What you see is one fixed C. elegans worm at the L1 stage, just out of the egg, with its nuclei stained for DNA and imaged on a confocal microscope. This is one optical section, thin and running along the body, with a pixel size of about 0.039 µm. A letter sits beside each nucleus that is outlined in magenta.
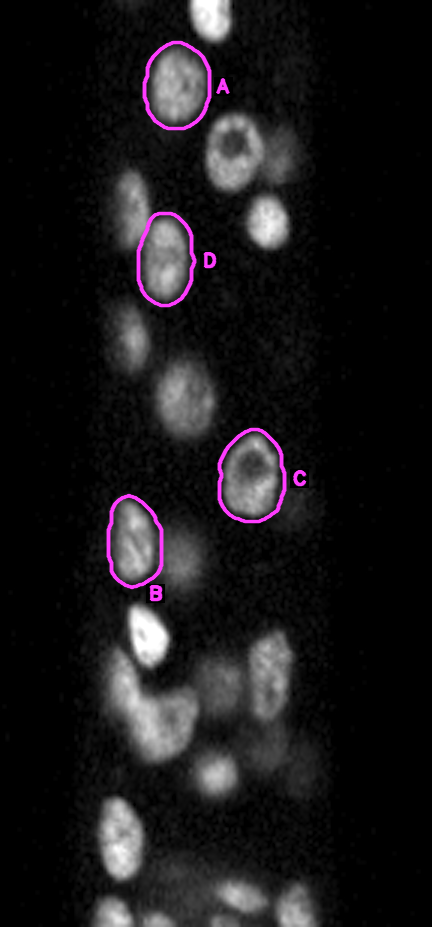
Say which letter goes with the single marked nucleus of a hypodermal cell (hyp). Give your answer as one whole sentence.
The nucleus of a hypodermal cell (hyp) is C.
